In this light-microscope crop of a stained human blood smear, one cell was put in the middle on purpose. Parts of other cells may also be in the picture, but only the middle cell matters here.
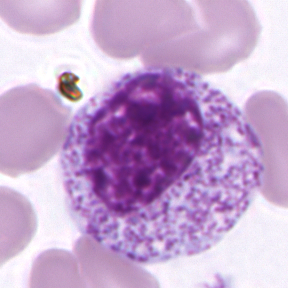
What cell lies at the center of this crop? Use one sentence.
At the middle of the frame sits a myelocyte.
